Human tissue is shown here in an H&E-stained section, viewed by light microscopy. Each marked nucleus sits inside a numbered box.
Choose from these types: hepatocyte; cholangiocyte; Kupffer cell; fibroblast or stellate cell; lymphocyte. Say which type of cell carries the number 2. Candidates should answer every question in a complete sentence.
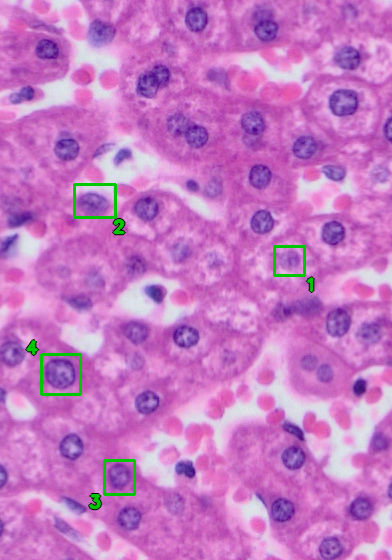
Within this field of view, the cell labelled 2 is a Kupffer cell.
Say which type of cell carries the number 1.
Cell number 1 in this section is a hepatocyte.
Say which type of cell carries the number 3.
The cell given label 3 is a hepatocyte.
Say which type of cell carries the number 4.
What the number 4 marks in this field is a hepatocyte.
